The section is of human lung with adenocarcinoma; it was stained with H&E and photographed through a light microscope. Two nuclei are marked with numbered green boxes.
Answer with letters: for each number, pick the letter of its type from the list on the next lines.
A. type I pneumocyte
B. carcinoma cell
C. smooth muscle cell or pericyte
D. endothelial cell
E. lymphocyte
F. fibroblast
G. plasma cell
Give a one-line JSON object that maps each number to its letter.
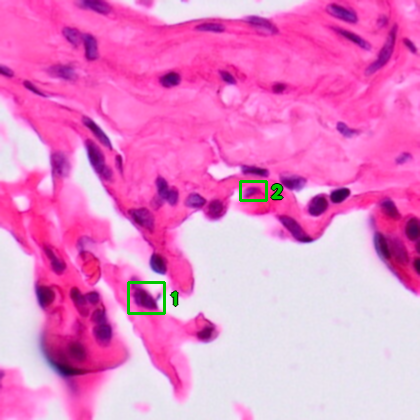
{"1": "A", "2": "D"}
